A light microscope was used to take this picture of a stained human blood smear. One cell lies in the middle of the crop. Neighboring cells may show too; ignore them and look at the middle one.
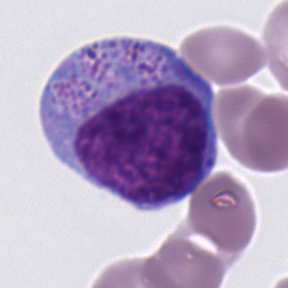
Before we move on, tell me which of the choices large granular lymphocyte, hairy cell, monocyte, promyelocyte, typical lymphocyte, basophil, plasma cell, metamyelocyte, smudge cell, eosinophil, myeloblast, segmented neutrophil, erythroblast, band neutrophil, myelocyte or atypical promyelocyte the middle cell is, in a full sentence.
Within this crop, an atypical promyelocyte occupies the central position.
